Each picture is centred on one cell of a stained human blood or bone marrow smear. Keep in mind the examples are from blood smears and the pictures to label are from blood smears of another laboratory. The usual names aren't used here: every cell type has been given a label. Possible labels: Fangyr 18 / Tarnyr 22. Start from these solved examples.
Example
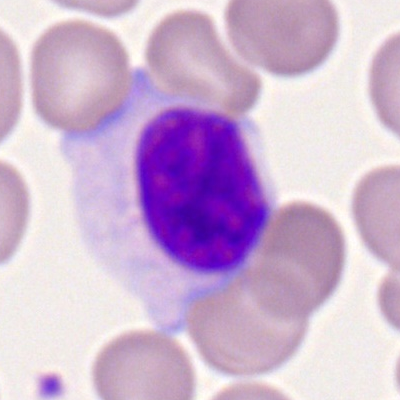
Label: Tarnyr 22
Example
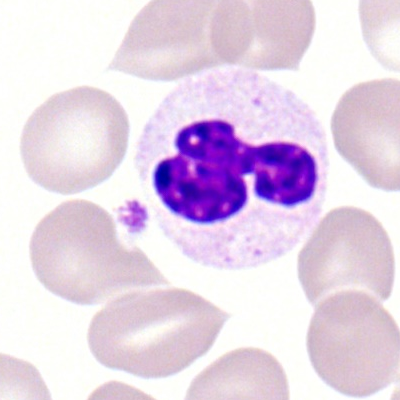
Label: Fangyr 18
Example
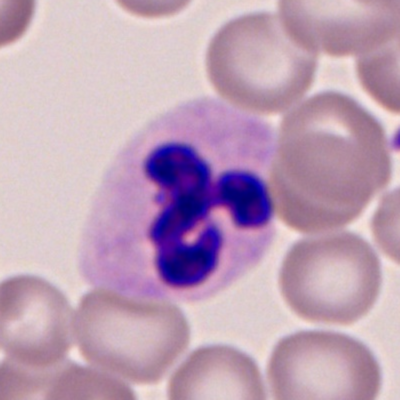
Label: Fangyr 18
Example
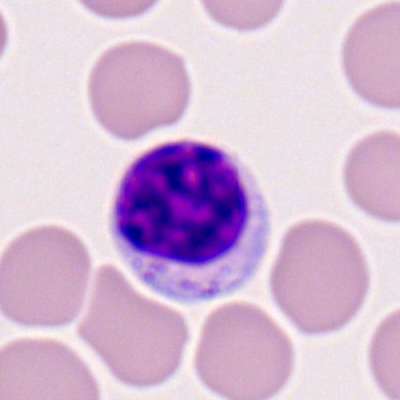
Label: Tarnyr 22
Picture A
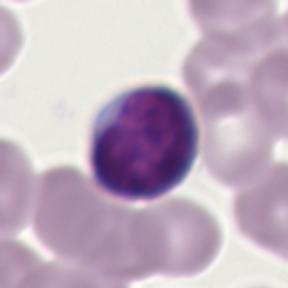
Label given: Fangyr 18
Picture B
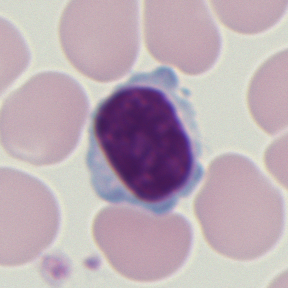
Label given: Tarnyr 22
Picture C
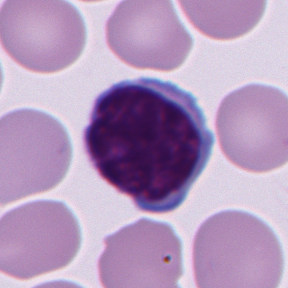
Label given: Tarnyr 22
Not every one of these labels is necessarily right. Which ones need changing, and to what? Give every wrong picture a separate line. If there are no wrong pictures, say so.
A is labelled Fangyr 18; correct label: Tarnyr 22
